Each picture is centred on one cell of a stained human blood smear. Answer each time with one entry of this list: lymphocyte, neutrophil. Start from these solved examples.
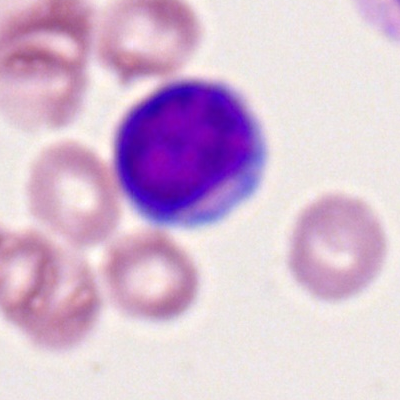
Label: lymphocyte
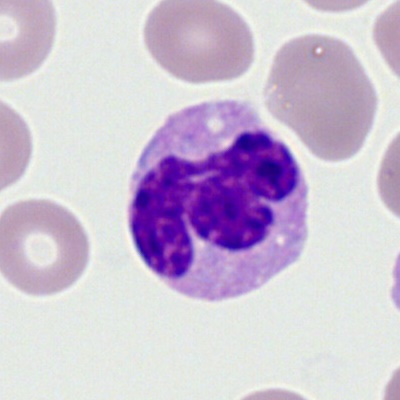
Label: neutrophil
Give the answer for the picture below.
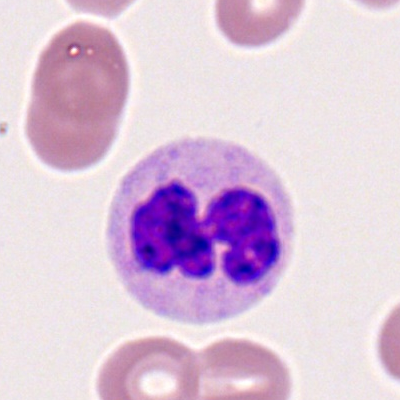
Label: neutrophil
